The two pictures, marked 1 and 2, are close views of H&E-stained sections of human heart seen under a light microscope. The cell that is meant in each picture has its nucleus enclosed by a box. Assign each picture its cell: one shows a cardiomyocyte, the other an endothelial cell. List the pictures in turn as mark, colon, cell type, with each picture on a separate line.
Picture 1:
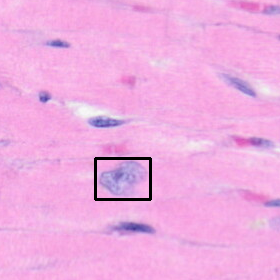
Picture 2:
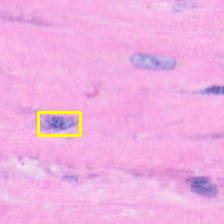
1: cardiomyocyte
2: endothelial cell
